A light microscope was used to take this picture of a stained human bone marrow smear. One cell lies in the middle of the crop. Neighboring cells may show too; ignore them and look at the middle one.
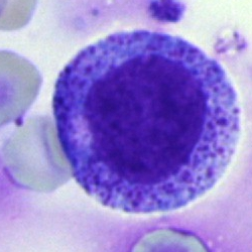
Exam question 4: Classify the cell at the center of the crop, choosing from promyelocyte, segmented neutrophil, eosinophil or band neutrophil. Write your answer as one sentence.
Classified as a promyelocyte is the cell in the middle of this crop.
